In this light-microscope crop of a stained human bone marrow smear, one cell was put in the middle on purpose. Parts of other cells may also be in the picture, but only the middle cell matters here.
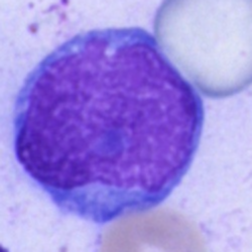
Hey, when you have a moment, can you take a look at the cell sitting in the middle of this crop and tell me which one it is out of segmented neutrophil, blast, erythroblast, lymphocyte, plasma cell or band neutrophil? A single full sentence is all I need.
Present in the middle of the crop is a blast.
